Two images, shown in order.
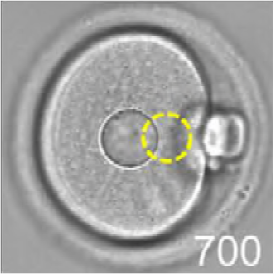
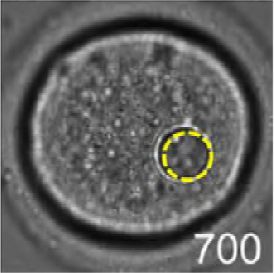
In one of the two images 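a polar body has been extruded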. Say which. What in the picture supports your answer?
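Second image: the cell outline is smooth and round with nothing budding from it. First image: a small body protrudes from the right edge of the cell inside the outer shell. That points to this answer: the first image.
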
